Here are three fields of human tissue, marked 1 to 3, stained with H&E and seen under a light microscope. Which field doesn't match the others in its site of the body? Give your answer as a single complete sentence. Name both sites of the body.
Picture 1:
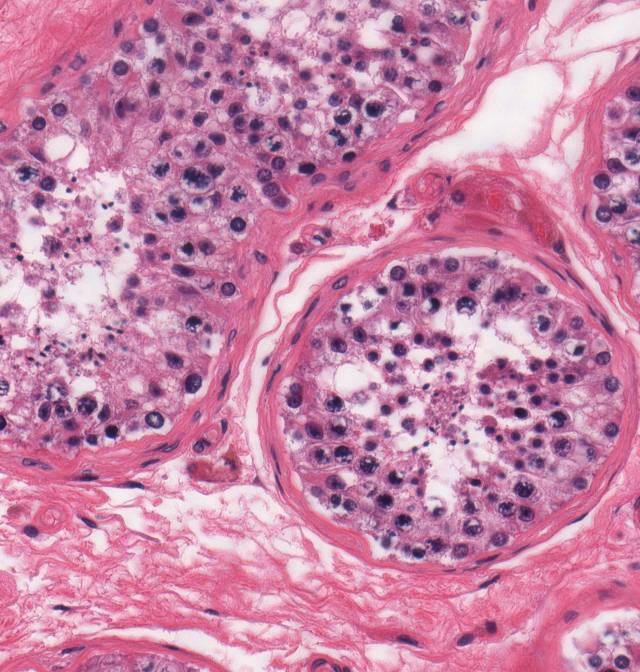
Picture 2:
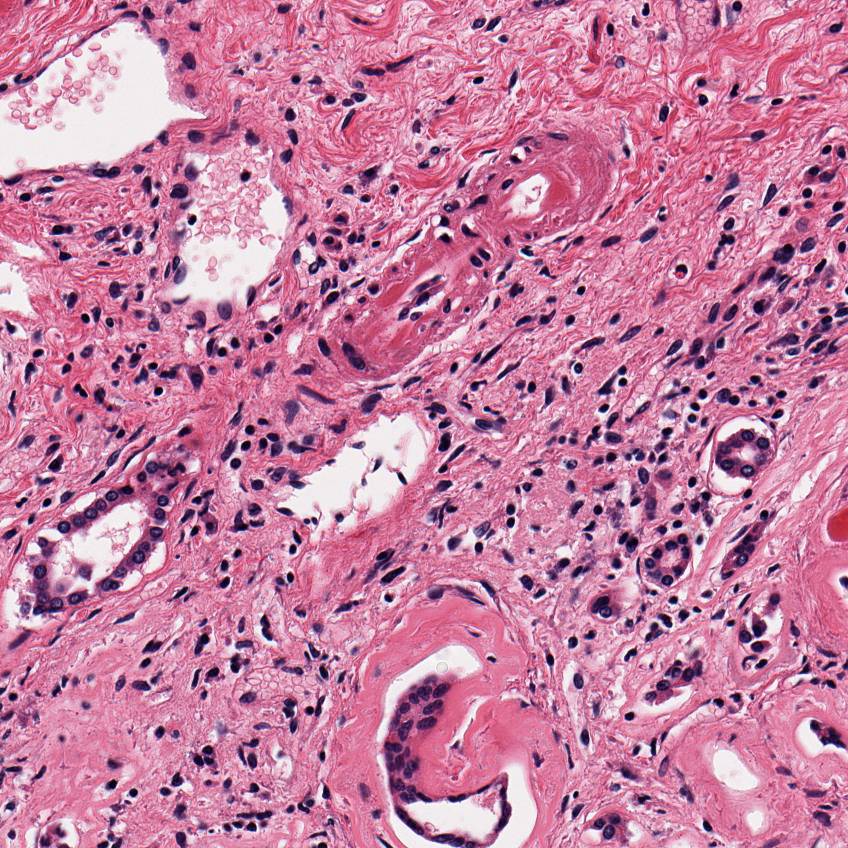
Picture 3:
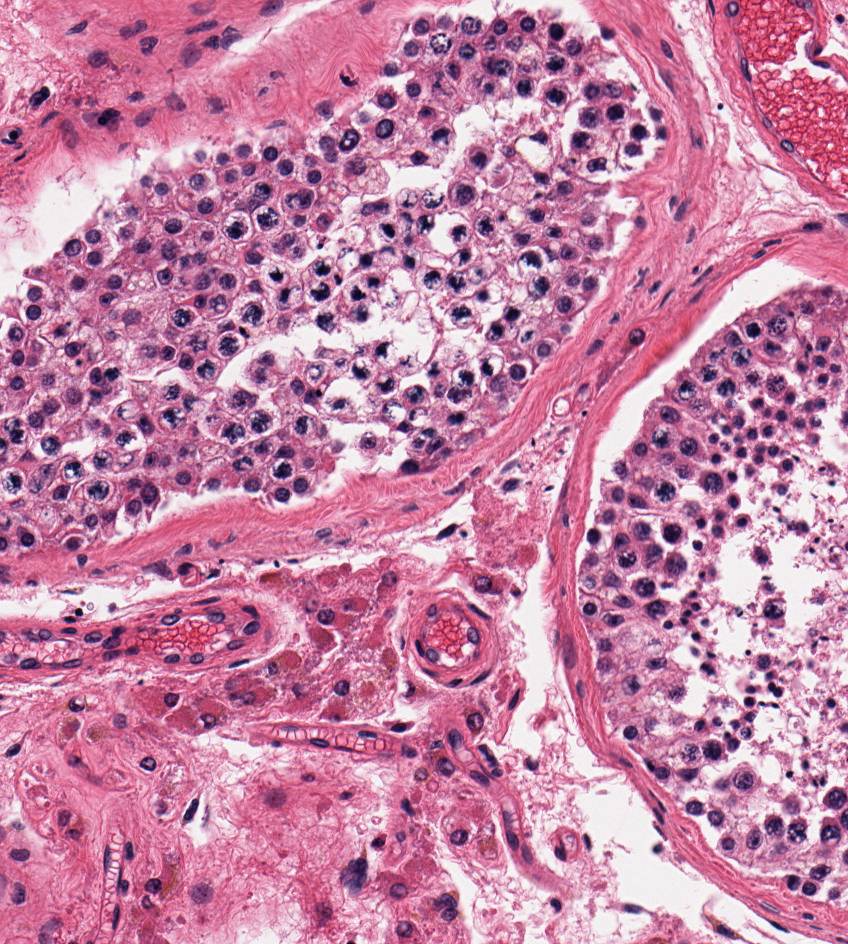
The others come from the testis, but picture 2 comes from the renal medulla.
